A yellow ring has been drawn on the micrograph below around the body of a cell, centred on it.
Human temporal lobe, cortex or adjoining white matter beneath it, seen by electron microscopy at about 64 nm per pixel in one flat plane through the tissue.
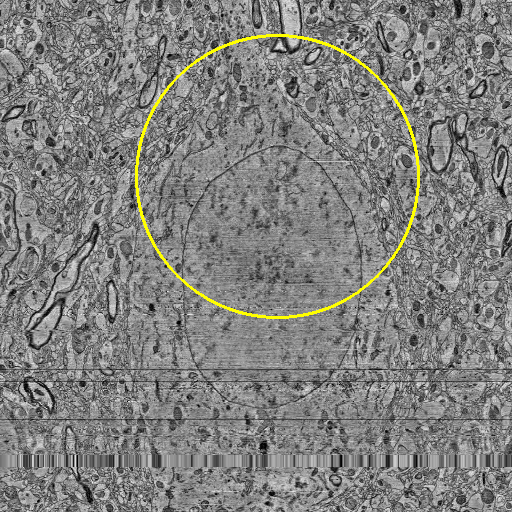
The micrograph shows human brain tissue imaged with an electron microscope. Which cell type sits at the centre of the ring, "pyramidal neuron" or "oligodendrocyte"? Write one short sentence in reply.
The cell sitting at the centre of the ring is a pyramidal neuron.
